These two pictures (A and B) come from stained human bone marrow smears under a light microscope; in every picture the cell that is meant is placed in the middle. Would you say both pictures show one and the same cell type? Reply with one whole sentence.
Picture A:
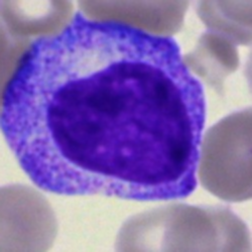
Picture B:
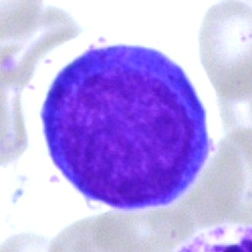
No. Picture A shows a myelocyte, but picture B shows a proerythroblast.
